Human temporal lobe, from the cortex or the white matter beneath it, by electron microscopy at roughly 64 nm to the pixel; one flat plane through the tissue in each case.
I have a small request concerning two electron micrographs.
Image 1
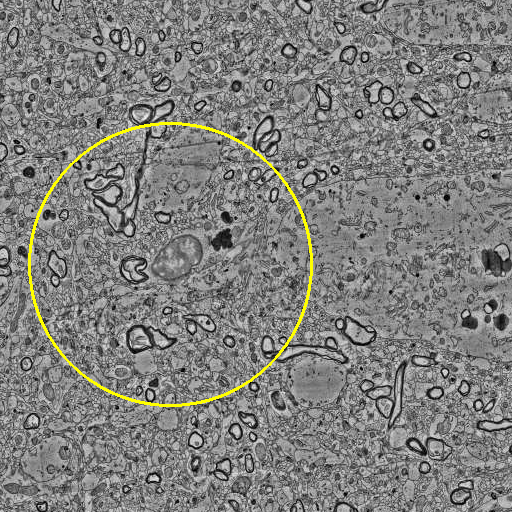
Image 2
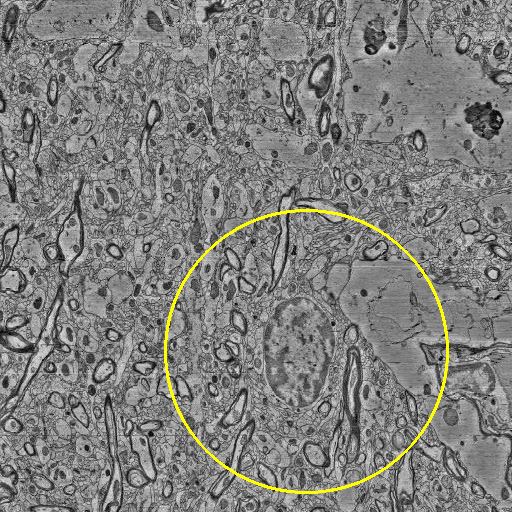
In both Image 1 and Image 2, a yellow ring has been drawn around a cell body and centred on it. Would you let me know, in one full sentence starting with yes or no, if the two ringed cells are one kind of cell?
No, the cells ringed in Image 1 and Image 2 are two kinds of cell.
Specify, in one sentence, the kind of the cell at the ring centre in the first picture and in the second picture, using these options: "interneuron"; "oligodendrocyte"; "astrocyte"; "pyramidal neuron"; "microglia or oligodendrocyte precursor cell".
So the first is an oligodendrocyte, the second a microglial cell or oligodendrocyte precursor cell.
